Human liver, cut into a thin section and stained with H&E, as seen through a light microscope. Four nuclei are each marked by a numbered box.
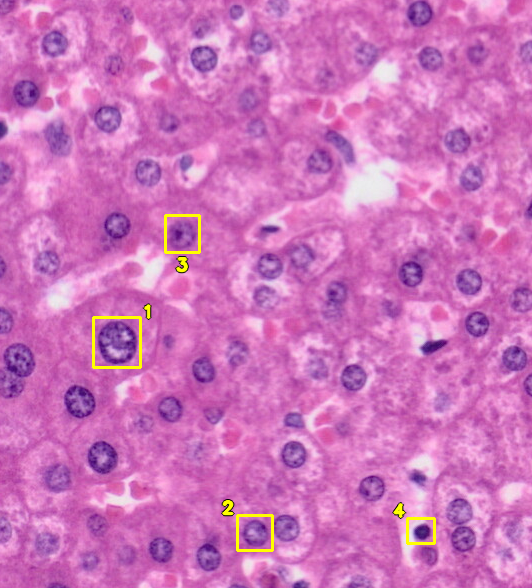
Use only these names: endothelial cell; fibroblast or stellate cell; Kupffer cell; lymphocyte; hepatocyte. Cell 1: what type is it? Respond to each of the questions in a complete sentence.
Regarding cell 1, this one is a hepatocyte.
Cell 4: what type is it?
The cell identified by number 4 is a lymphocyte.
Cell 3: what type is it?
The correct label for cell 3 is a hepatocyte.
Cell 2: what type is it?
Classified as a hepatocyte is the cell with the number 2.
